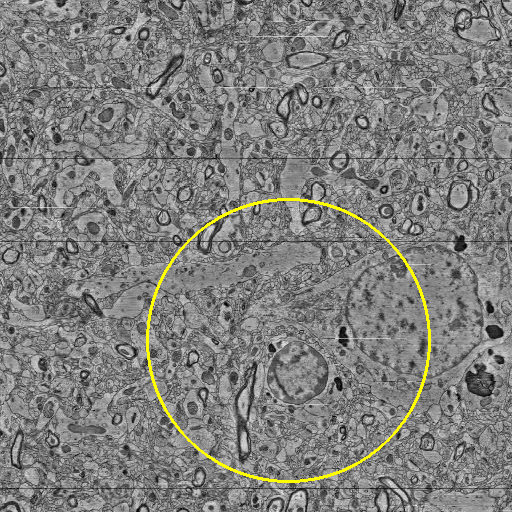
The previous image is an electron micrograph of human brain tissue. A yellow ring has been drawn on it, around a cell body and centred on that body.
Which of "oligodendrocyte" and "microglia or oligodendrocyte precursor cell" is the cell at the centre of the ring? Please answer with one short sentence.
The cell body at the centre of the ring belongs to a microglial cell or oligodendrocyte precursor cell.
